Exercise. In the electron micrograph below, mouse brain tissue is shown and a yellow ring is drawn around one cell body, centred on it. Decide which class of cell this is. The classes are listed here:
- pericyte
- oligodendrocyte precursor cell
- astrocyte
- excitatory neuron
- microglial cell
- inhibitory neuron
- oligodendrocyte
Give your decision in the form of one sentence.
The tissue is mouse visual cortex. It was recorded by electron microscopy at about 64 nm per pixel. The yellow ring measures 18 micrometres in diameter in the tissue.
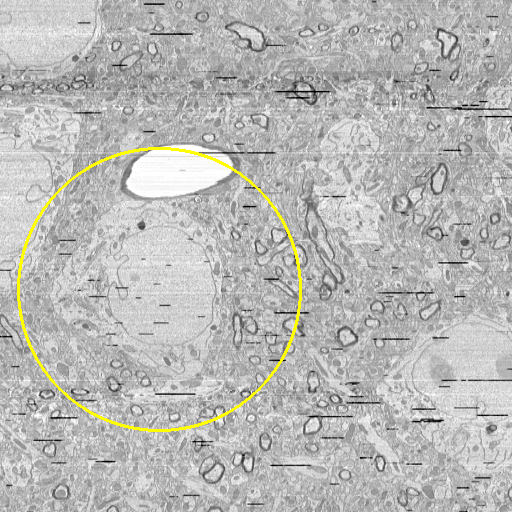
The cell body marked by the ring belongs to an excitatory neuron.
